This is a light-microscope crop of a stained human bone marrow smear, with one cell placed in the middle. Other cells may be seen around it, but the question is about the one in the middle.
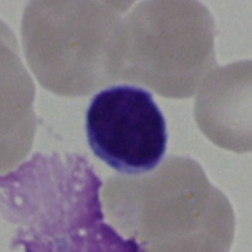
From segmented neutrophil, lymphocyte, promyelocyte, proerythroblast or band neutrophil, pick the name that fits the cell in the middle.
lymphocyte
